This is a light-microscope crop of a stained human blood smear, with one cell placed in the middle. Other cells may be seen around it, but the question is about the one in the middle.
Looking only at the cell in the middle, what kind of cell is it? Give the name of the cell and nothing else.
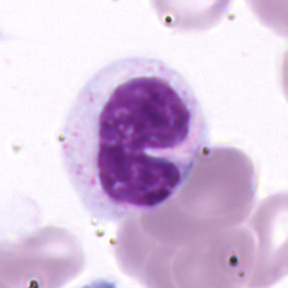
band neutrophil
